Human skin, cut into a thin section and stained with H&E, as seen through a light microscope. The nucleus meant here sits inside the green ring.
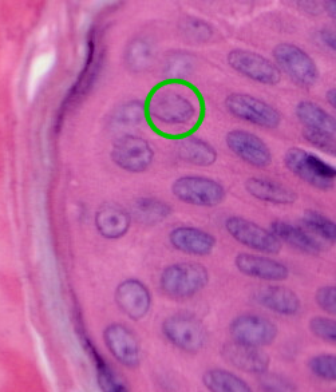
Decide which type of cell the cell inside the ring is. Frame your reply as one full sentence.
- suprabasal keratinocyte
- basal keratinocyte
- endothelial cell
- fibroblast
In the tissue under study, the cell inside the ring is a suprabasal keratinocyte.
